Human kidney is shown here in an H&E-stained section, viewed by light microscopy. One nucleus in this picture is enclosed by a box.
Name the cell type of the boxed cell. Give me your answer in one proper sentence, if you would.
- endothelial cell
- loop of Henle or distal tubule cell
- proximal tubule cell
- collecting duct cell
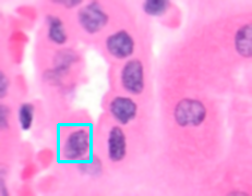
In the stained section, the boxed cell is a collecting duct cell.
